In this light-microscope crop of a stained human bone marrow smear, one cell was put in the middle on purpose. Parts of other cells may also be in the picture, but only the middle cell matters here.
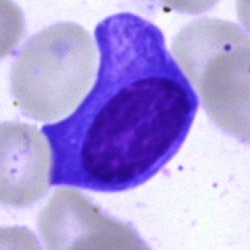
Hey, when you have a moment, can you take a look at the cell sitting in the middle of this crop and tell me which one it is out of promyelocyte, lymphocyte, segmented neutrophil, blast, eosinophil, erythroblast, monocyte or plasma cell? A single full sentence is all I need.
The central cell shown in this smear crop is a plasma cell.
